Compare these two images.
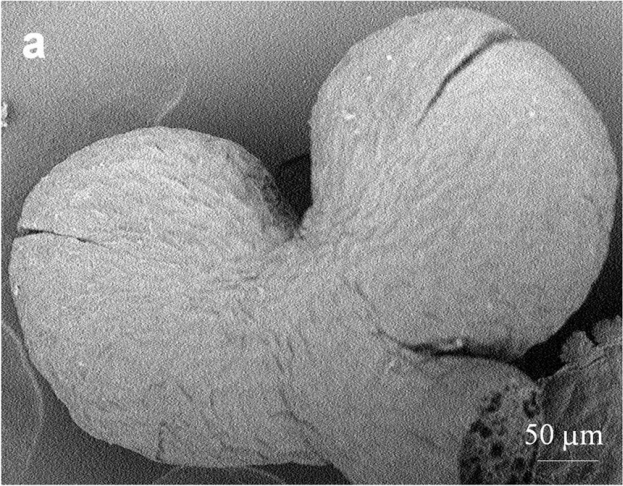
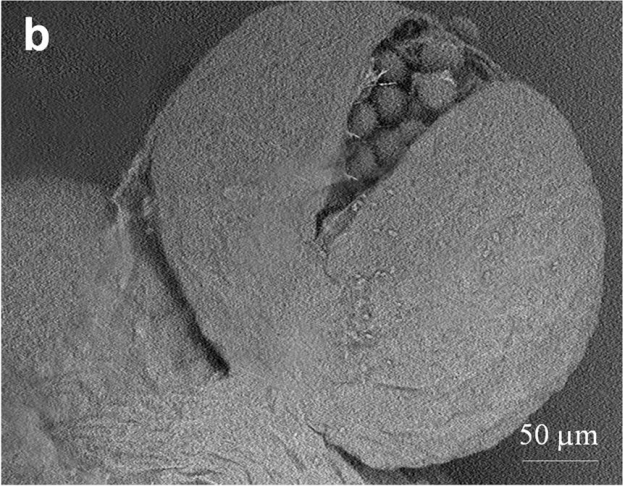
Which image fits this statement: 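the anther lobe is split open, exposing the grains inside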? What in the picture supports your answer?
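Second image: a lobe gapes open and round grains are visible within. First image: the lobes show only a thin closed groove with no contents visible.
The second image.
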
